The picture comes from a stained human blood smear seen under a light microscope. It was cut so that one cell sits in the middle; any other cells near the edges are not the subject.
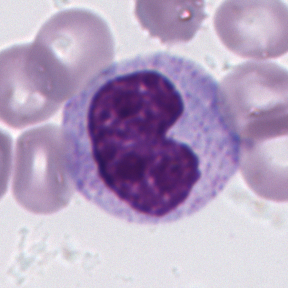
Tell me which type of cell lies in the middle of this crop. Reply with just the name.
metamyelocyte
